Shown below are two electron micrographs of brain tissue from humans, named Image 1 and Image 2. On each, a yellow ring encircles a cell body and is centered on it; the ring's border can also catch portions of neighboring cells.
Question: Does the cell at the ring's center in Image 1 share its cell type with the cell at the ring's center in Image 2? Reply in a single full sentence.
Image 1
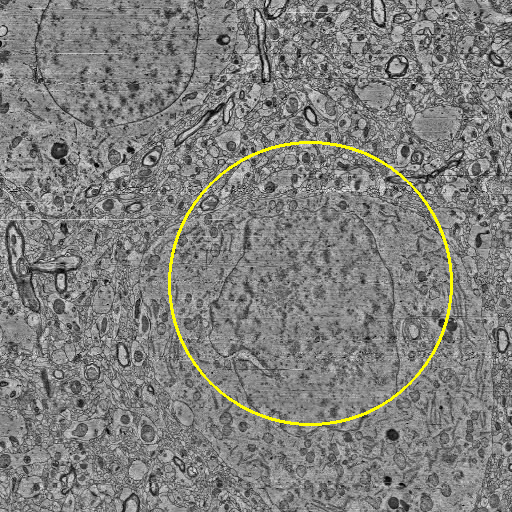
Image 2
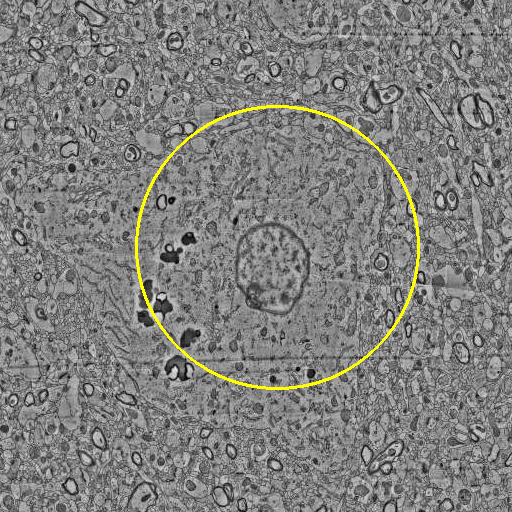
No, the two cells at the ring centers, in Image 1 and Image 2, are of two cell types.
